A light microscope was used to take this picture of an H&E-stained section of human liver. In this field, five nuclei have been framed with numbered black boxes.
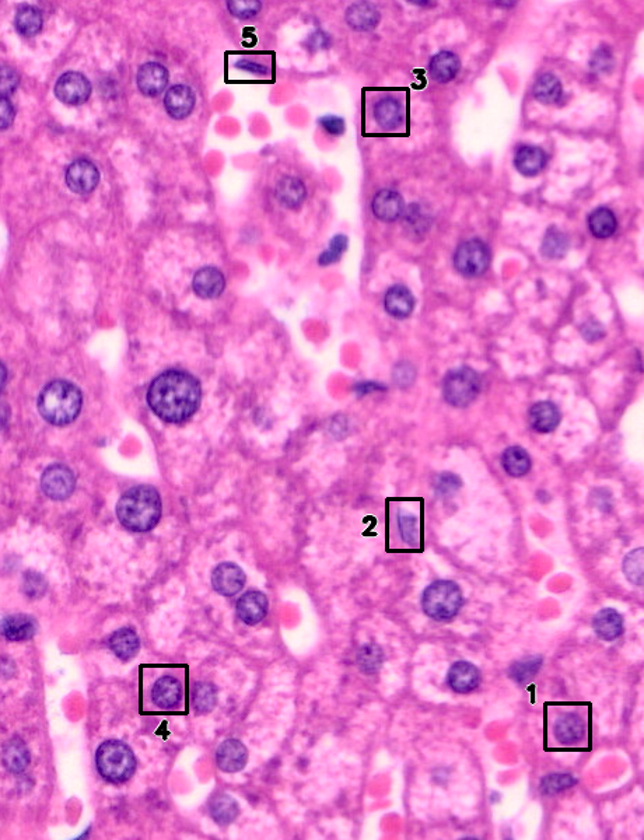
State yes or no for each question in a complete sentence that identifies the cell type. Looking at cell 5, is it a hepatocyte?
No, the marker 5 sits on an endothelial cell, not on a hepatocyte.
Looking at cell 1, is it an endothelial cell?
No, cell 1 is correctly identified as a hepatocyte and not as an endothelial cell.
